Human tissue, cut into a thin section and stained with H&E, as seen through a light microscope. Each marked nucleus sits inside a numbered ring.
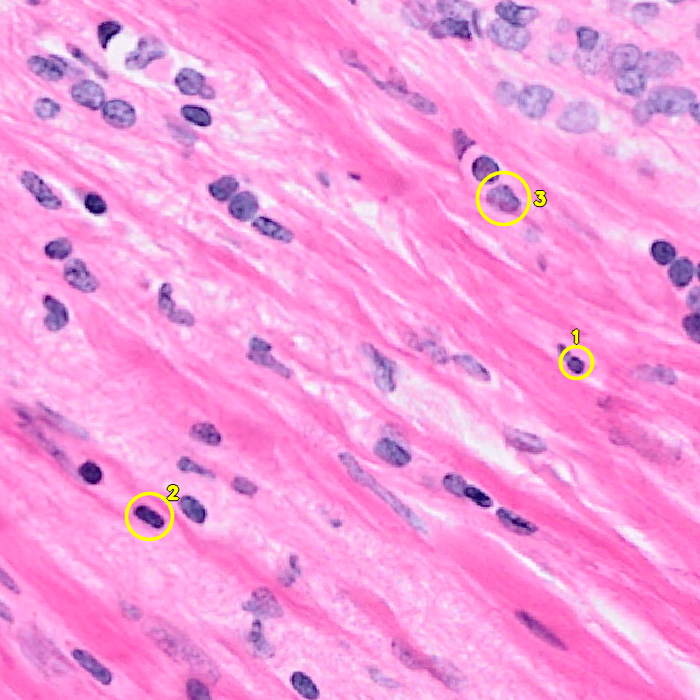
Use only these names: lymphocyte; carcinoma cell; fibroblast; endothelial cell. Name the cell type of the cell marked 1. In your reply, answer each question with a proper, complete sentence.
The nucleus labelled 1 belongs to a lymphocyte.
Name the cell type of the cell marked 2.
The one labeled 2 is a lymphocyte, to put it simply.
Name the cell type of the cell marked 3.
In the tissue shown, cell 3 is a carcinoma cell.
